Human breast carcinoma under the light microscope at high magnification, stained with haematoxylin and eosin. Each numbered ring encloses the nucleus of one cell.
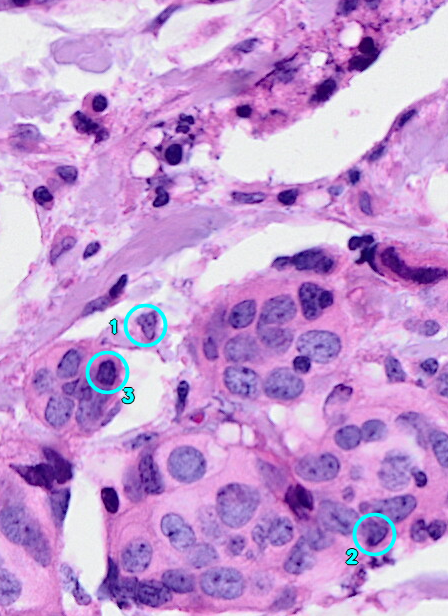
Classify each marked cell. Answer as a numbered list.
1. macrophage, monocyte or dendritic cell
2. carcinoma cell
3. carcinoma cell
